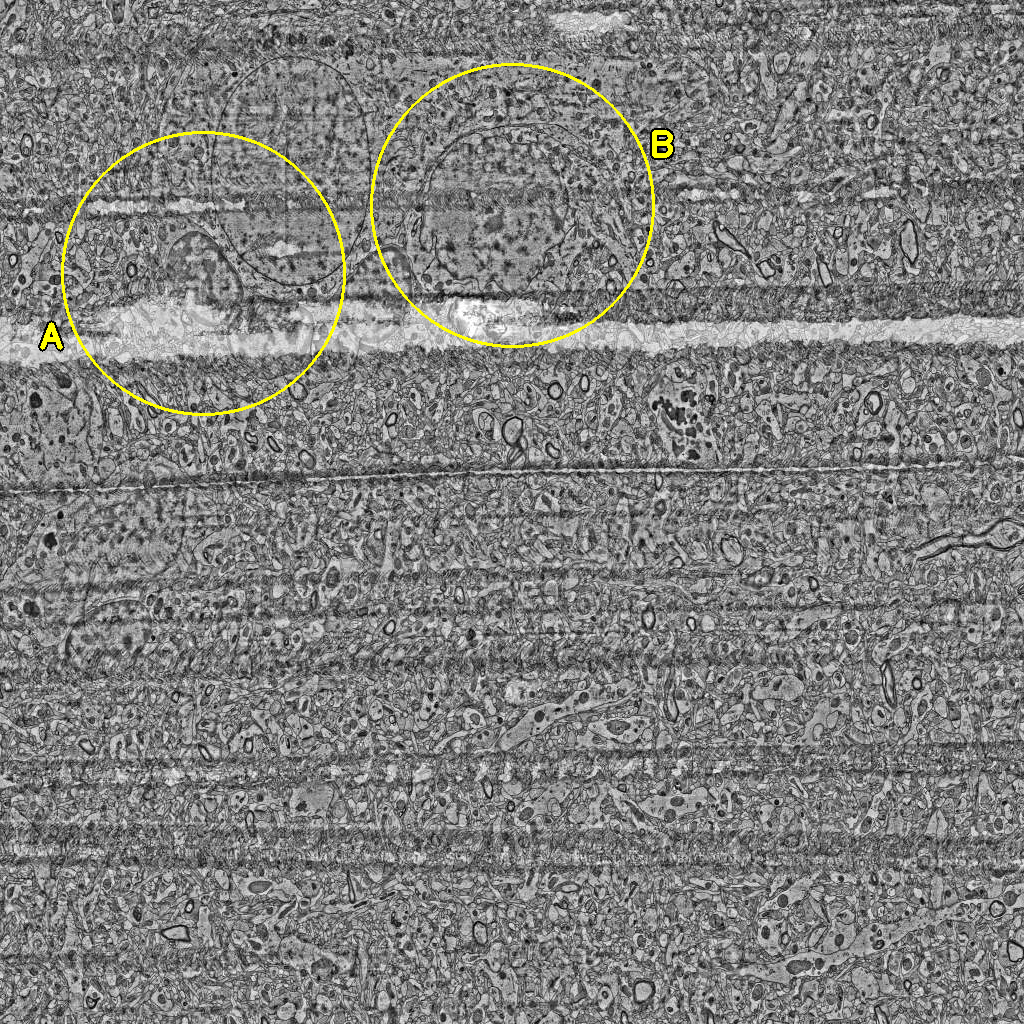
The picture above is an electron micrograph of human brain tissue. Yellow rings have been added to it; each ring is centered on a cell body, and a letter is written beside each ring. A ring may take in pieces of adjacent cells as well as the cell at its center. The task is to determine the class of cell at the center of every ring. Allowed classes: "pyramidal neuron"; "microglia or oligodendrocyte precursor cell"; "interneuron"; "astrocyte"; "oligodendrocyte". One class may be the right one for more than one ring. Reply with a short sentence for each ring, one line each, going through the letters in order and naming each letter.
Ring A is centered on an oligodendrocyte.
Ring B is centered on an interneuron.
